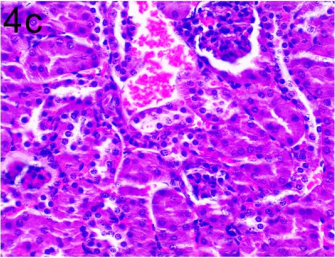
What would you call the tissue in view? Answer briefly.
Kidney.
